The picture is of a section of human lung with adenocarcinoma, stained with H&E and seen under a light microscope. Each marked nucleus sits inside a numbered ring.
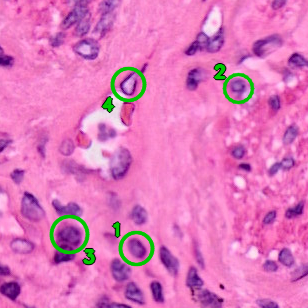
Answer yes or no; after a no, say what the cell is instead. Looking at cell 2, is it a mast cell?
No, it is a smooth muscle cell or pericyte.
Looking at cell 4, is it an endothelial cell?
Yes.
